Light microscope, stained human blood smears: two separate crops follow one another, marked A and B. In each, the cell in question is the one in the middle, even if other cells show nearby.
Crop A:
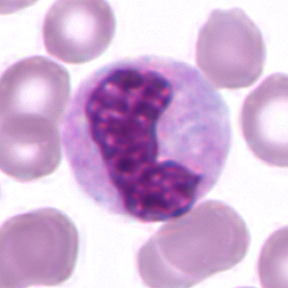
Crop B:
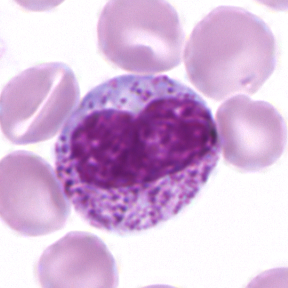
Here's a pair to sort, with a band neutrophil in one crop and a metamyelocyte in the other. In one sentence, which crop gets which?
In crop A there is a band neutrophil, and in crop B there is a metamyelocyte.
